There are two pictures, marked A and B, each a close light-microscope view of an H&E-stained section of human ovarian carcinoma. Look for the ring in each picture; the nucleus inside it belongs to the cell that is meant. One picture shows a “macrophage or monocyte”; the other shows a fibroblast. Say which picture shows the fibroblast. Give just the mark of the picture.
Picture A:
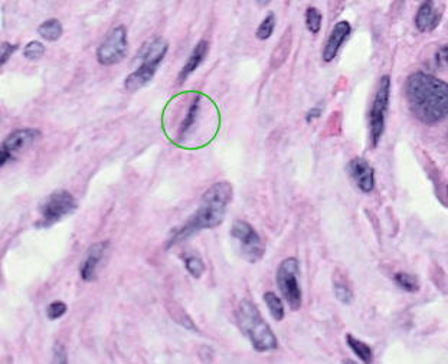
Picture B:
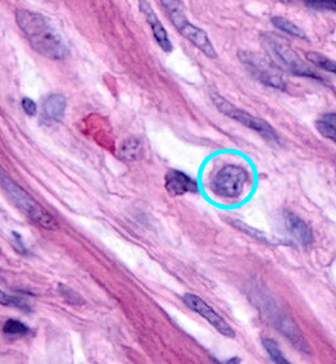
A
